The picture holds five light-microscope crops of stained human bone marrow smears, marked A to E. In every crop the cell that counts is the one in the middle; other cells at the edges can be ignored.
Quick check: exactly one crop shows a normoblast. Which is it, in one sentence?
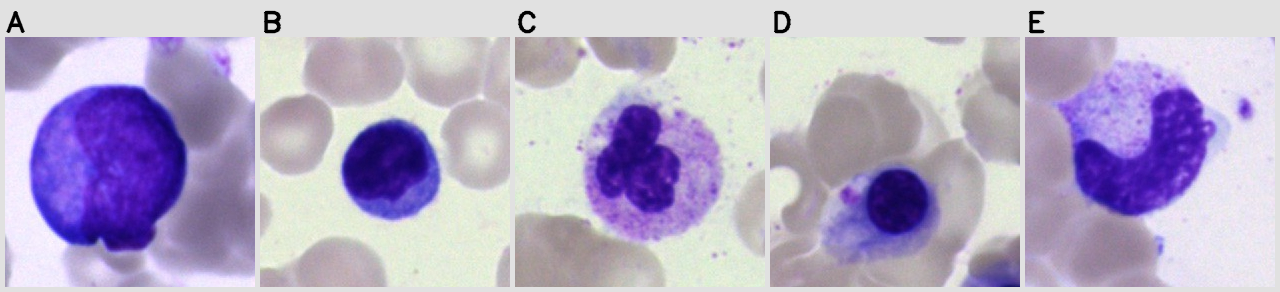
Of the labelled crops, the one that shows a normoblast is crop D.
